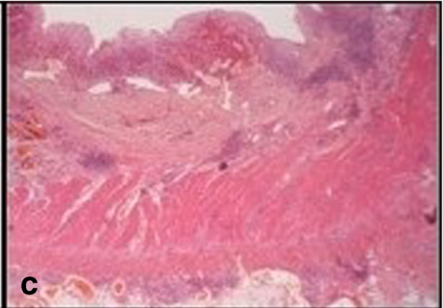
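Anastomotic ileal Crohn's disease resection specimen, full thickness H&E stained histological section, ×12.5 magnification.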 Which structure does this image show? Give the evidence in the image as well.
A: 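Lymphoid aggregates. Dense purple clusters of small cells lie within the bowel wall. The clusters sit among pink bands of muscle and deeper tissue.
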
